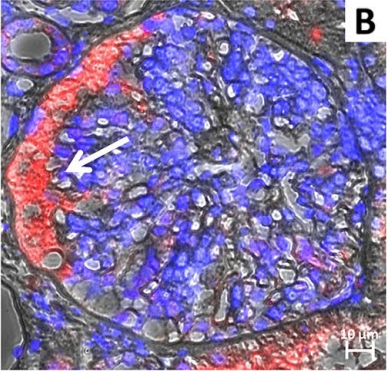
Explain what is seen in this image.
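This is a glomerulus seen with fluorescence over a grey transmitted-light image, its tuft packed with blue nuclei. On the left, a thick crescent-shaped band of bright red cells lines the inside of the capsule, much thicker than a flat single lining would be. The tuft itself shows little red, apart from small spots.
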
